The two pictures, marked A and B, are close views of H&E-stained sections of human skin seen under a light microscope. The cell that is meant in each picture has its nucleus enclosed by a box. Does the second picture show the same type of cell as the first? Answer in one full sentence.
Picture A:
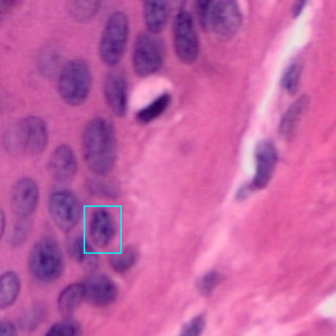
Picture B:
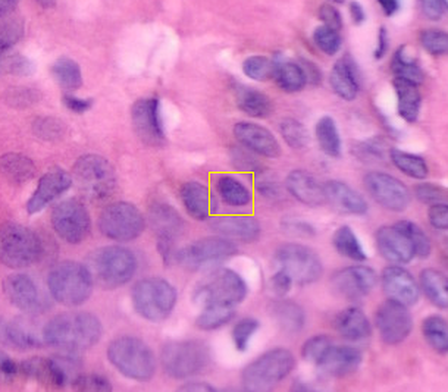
Yes, both cells are basal keratinocytes.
